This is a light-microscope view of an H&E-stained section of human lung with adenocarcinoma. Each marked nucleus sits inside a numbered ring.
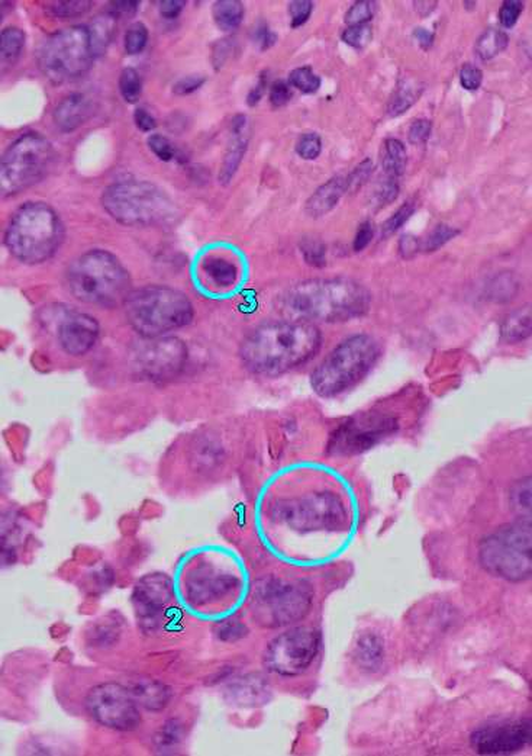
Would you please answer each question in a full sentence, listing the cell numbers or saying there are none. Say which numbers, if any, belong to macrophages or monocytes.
By cell type, the numbered cells include no macrophages or monocytes.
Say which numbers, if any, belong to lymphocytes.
The cell labelled 3 is a lymphocyte, while the remaining numbered cells are not.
